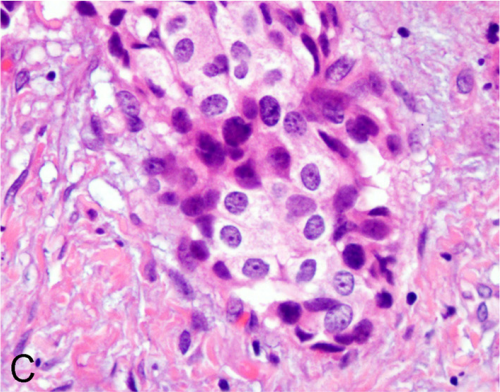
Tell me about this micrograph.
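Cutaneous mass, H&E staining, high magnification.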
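This is a nest of tumor cells in the skin, made of two kinds of cell mixed together. Some cells have fairly narrow, pinker cytoplasm and darker nuclei, several of them crowded around the edge of the nest. Others, toward the middle, have abundant pale, almost clear or foamy cytoplasm. Around the nest lies loose pink fibrous stroma with a few small clear spaces.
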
